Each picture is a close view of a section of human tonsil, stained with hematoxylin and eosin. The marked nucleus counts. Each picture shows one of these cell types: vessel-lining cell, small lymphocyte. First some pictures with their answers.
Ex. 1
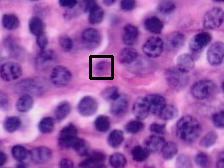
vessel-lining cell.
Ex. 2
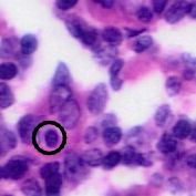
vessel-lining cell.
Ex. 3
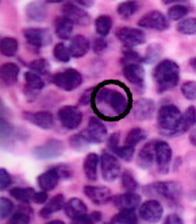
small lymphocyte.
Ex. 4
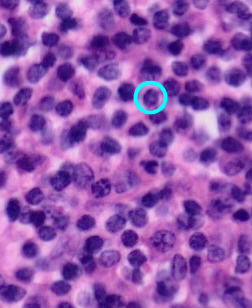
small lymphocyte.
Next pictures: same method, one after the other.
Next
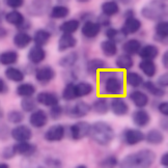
small lymphocyte.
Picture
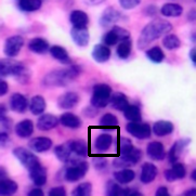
small lymphocyte.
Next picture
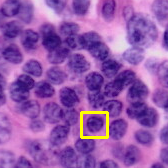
small lymphocyte.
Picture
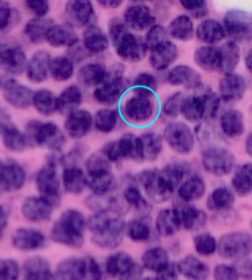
small lymphocyte.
